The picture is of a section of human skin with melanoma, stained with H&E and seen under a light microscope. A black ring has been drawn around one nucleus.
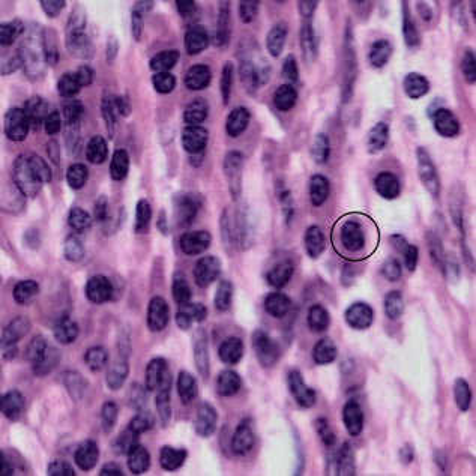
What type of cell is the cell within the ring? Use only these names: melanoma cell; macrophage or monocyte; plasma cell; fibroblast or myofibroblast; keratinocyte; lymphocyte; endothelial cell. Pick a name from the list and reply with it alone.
plasma cell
